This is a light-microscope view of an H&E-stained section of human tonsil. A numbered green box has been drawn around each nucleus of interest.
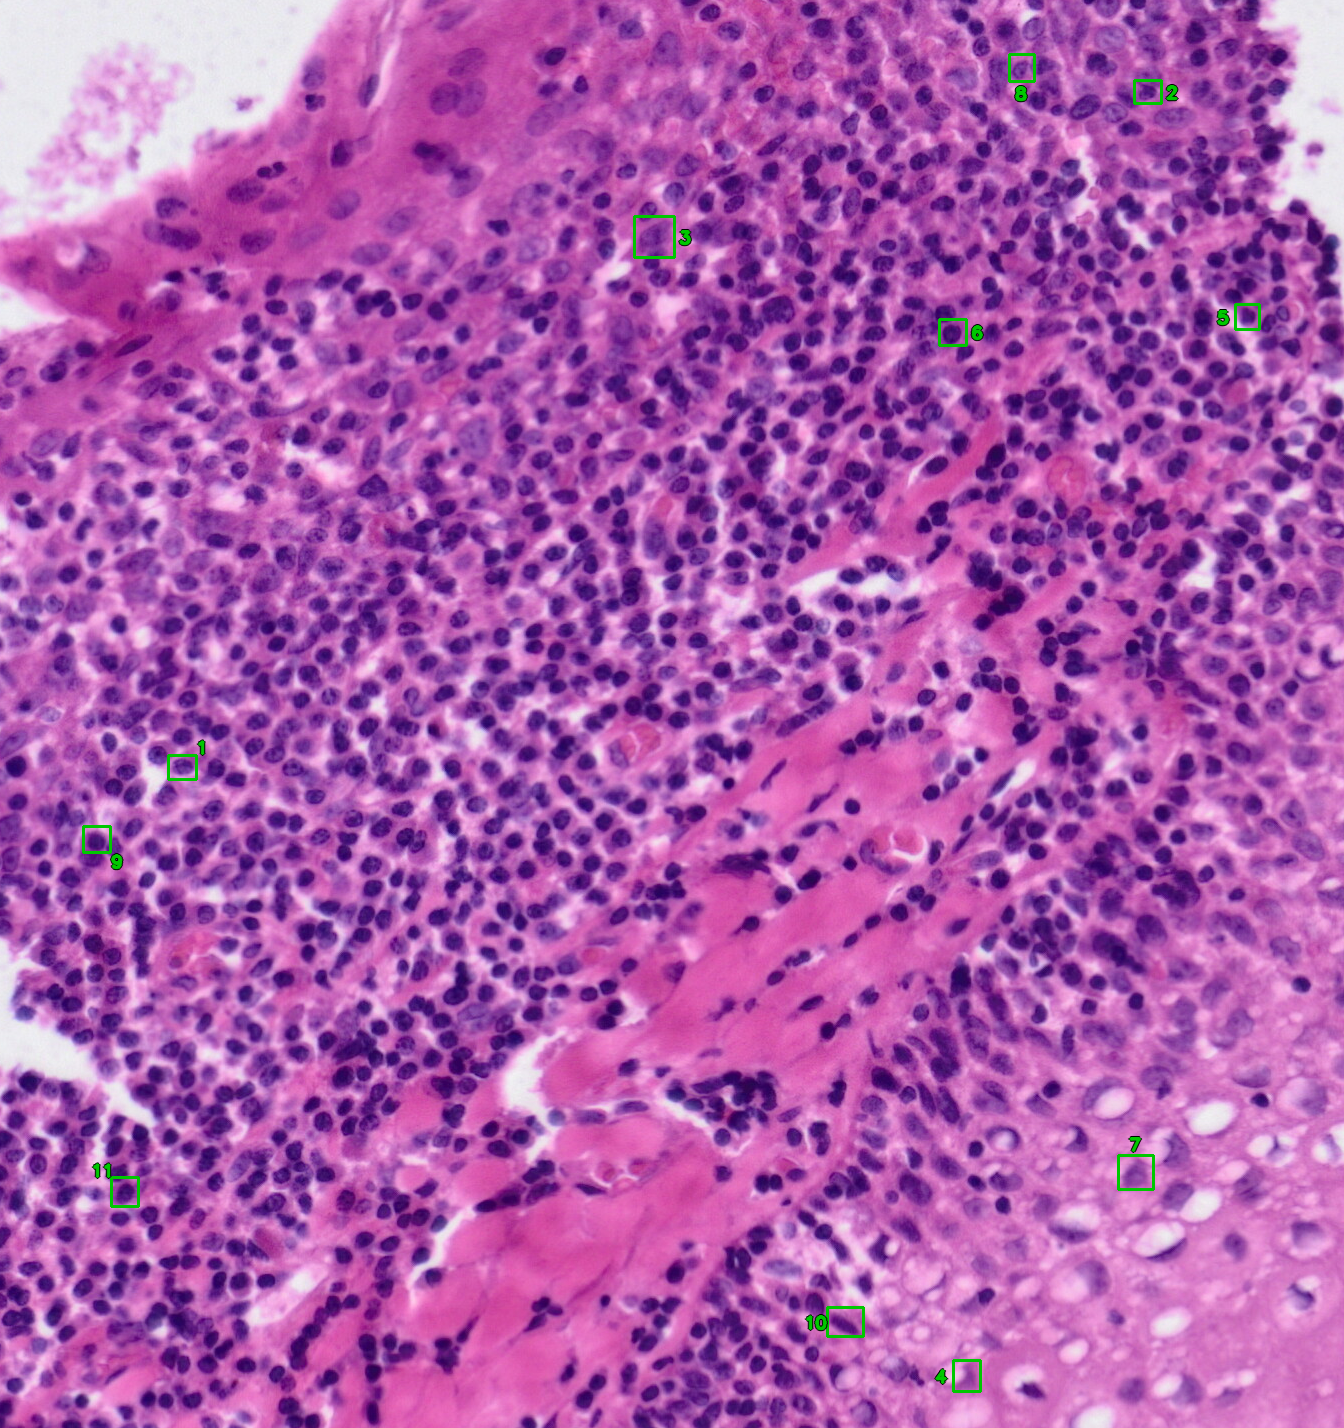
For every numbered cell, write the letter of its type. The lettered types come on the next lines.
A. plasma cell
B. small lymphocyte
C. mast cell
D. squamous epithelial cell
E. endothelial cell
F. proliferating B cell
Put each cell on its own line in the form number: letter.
1: A
2: D
3: D
4: D
5: A
6: A
7: D
8: D
9: A
10: D
11: A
